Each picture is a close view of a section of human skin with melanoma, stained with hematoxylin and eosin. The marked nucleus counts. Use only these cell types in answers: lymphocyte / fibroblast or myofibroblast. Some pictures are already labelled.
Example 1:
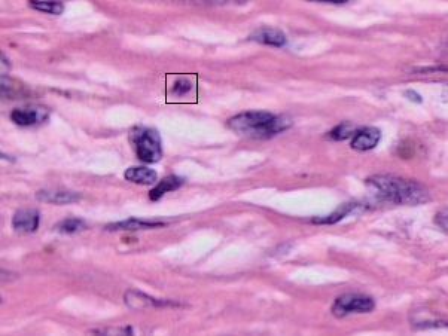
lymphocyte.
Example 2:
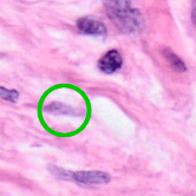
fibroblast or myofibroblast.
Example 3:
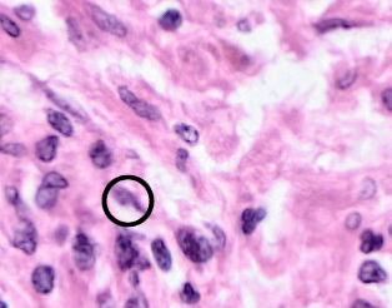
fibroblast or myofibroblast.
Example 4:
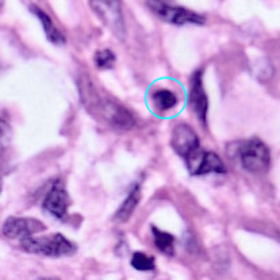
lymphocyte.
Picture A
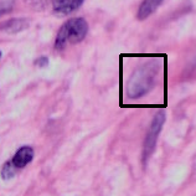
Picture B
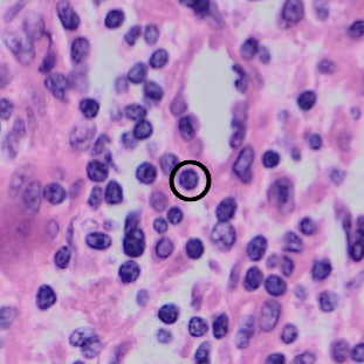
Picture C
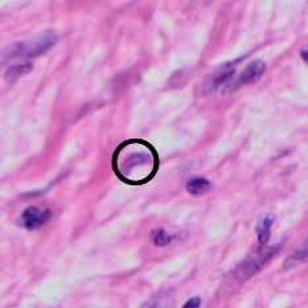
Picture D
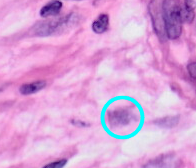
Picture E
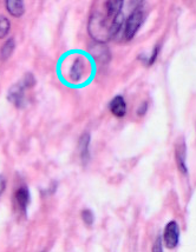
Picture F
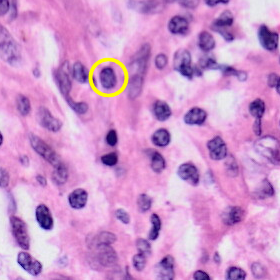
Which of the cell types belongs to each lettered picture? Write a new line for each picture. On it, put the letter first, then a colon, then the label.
A: fibroblast or myofibroblast.
B: lymphocyte.
C: fibroblast or myofibroblast.
D: fibroblast or myofibroblast.
E: lymphocyte.
F: lymphocyte.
